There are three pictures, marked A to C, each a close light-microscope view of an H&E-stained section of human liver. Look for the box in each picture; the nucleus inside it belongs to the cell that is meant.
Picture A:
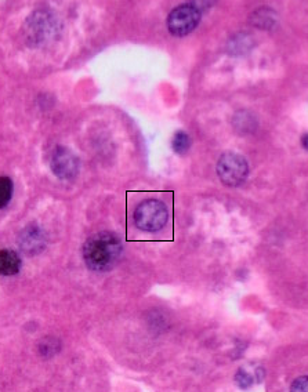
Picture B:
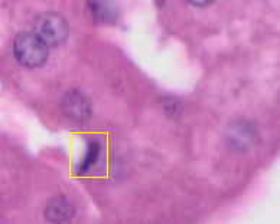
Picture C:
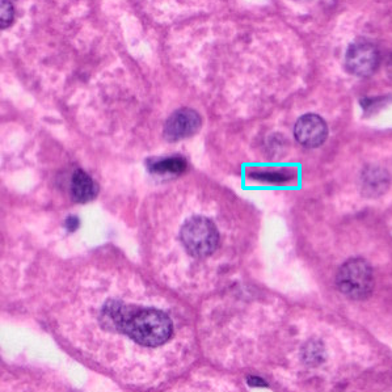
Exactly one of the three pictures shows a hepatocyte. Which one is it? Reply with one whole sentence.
The cell in picture A is the hepatocyte.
